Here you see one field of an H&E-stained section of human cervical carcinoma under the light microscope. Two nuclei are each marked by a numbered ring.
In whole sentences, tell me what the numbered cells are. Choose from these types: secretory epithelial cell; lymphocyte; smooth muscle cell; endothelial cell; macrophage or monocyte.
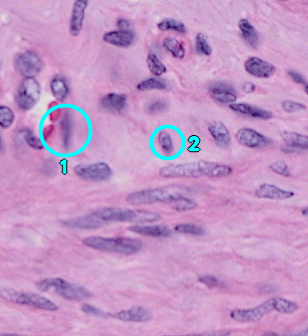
Cell 1 is an endothelial cell and cell 2 is a smooth muscle cell.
